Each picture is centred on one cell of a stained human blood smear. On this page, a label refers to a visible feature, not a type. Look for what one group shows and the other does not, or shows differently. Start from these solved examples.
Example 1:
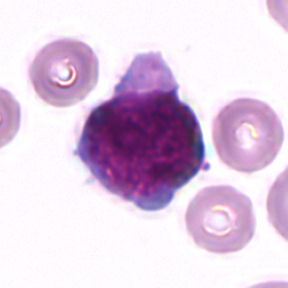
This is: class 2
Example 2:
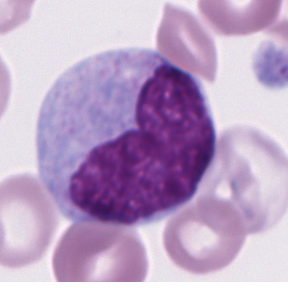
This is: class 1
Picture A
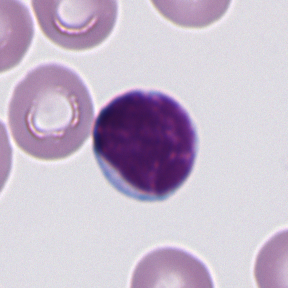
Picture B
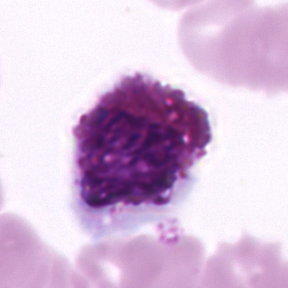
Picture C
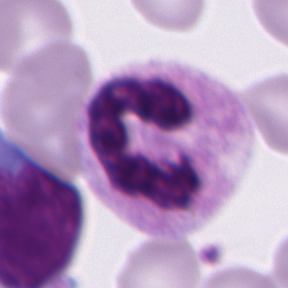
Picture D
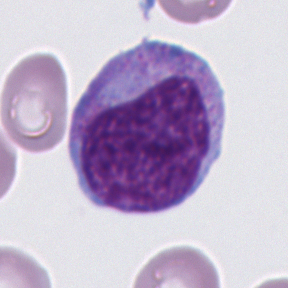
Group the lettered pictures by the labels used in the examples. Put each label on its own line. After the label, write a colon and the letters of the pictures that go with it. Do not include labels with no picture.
class 2: B
class 1: A, C, D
